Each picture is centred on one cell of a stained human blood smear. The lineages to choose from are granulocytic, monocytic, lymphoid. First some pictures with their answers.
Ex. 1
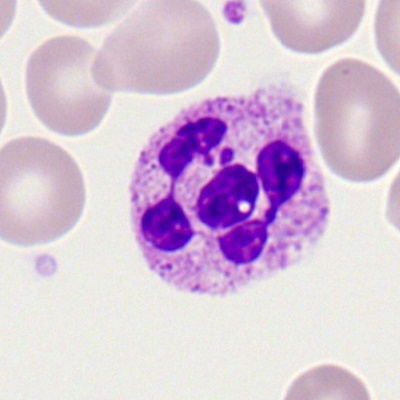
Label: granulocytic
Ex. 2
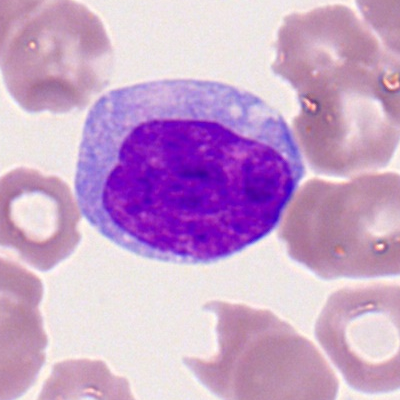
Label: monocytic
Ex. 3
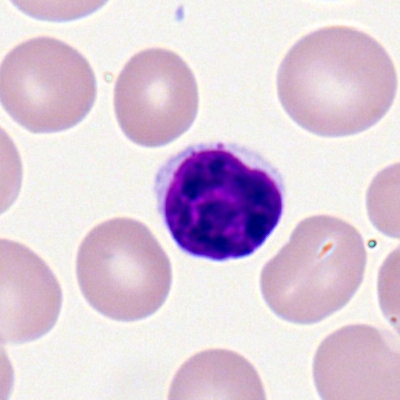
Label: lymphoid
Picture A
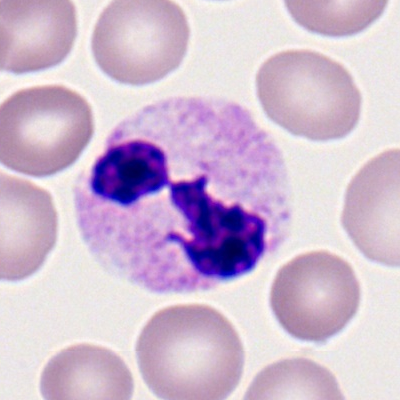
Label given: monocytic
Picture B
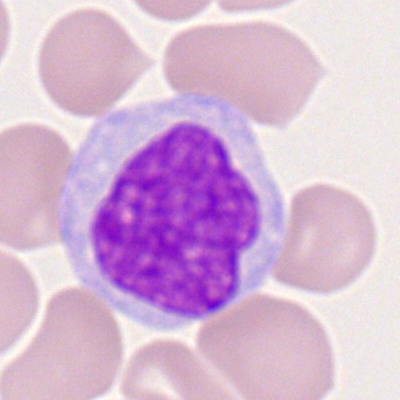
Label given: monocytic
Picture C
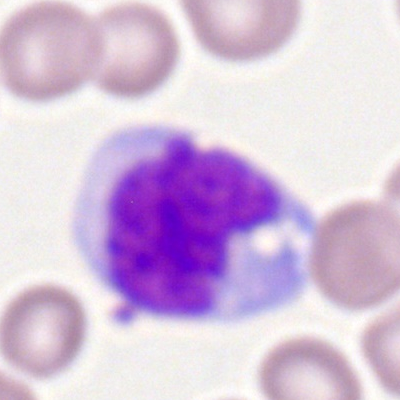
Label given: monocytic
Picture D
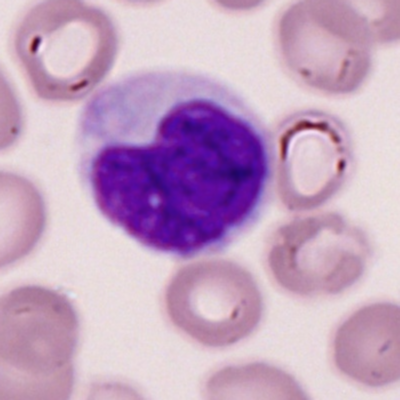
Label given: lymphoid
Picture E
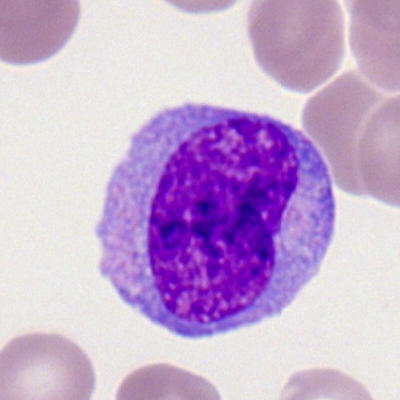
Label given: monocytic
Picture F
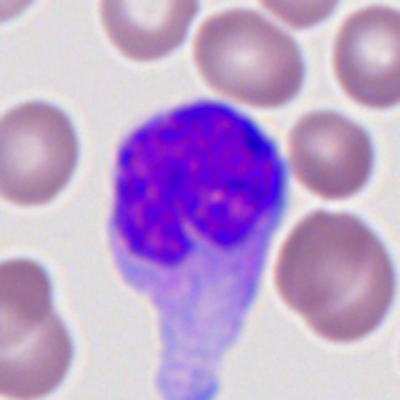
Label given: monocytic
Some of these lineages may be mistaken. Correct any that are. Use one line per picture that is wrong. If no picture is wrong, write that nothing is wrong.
A is labelled monocytic; correct label: granulocytic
